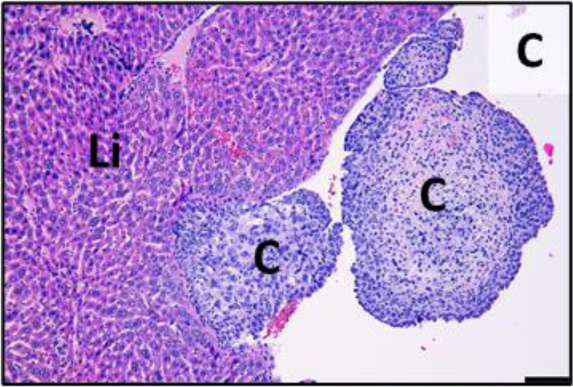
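Liver tissue with rounded tumor nodules sitting on and against its surface. The liver on the left consists of plates of large polygonal cells with pink cytoplasm and round nuclei. The nodules are compact, well-circumscribed masses of densely packed cells with dark blue-purple nuclei and scant cytoplasm, making them much more basophilic than the surrounding liver. One nodule presses into the liver edge, while a larger one bulges outward into the free space beside the organ.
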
